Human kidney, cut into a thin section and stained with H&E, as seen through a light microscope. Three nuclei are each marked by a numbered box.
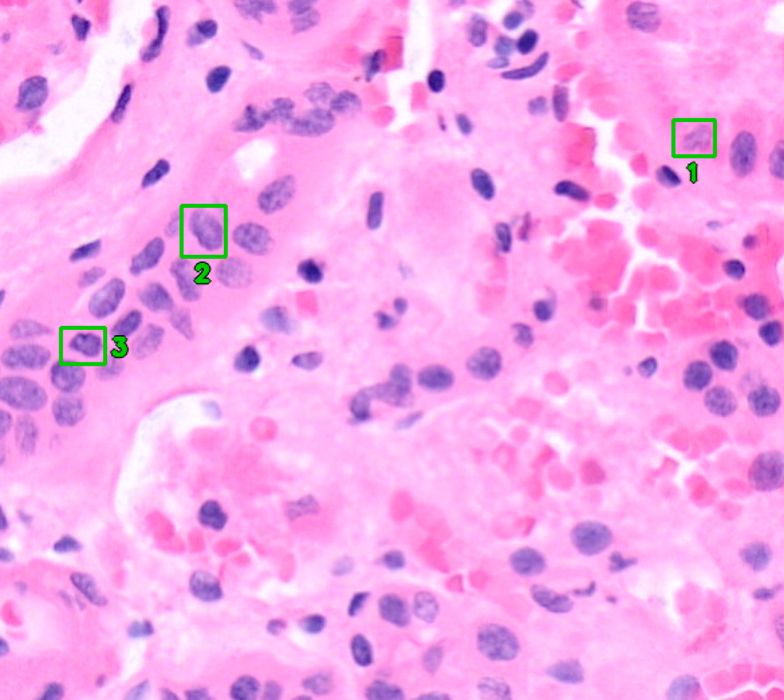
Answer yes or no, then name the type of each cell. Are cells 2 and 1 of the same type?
No, the correct reading has cell 2 as a collecting duct cell and cell 1 as a proximal tubule cell.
